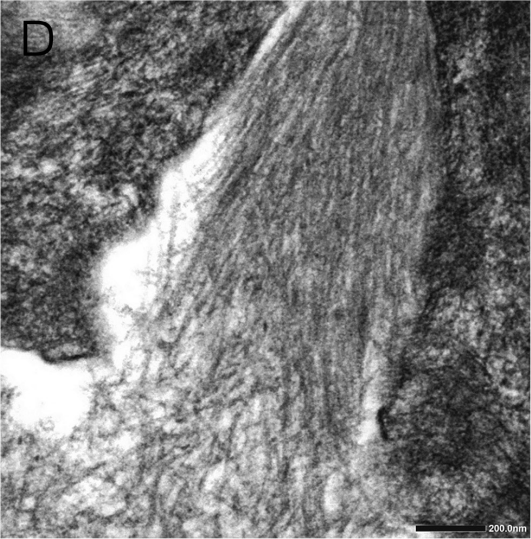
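At very high magnification this deposit is made of countless fine, straight fibrils. Denser, more granular material borders the fibrillar area on either side.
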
